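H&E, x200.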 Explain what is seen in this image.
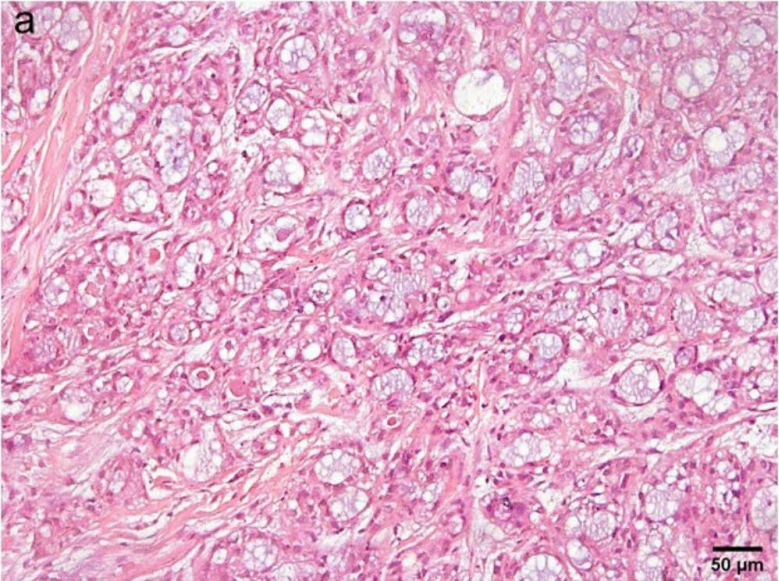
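A tumour composed of densely packed microcysts and small tubules lined by a single layer of small cuboidal to flattened epithelial cells with pink cytoplasm and small oval nuclei. The lumina contain pale lavender-blue, bubbly secretions. Thin bands of pink fibrous stroma run between the glands, with a thicker collagen band at the left edge.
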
